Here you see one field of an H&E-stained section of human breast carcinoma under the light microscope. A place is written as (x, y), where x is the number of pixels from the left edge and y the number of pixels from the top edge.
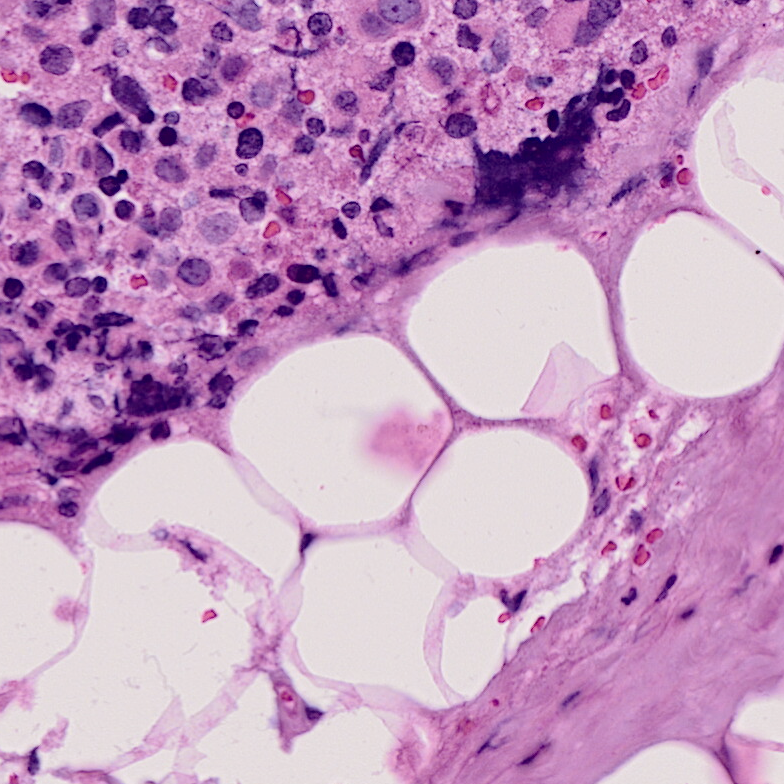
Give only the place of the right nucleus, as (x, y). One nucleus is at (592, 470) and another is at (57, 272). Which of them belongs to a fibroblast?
(592, 470)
